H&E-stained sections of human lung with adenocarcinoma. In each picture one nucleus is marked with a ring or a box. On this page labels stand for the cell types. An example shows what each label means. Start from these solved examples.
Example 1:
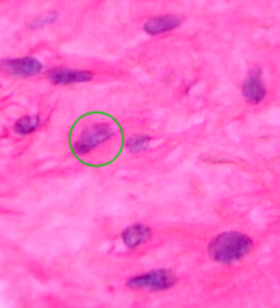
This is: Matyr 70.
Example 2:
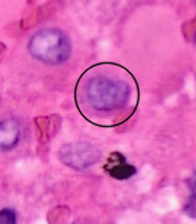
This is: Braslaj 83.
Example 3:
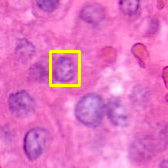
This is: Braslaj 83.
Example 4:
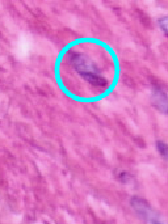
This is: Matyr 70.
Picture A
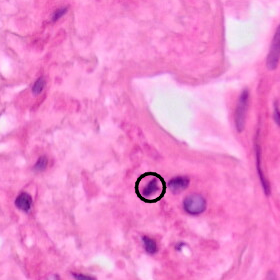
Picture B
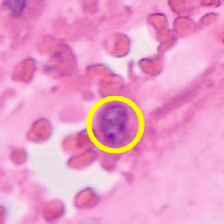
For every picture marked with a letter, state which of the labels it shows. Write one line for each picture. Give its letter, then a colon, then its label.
A: Matyr 70.
B: Braslaj 83.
